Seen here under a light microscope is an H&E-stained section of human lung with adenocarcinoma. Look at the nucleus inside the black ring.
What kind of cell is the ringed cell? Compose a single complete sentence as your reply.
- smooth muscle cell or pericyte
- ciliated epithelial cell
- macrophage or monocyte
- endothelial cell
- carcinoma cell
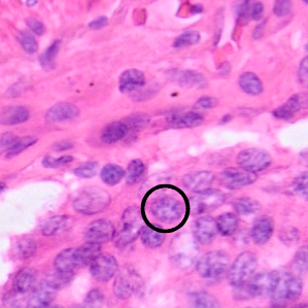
Placed in its cell category, the ringed cell is a ciliated epithelial cell.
